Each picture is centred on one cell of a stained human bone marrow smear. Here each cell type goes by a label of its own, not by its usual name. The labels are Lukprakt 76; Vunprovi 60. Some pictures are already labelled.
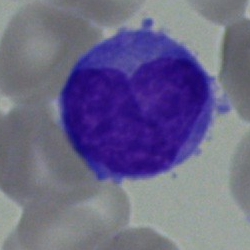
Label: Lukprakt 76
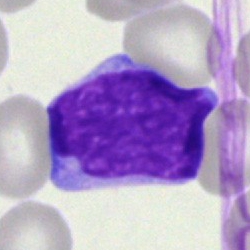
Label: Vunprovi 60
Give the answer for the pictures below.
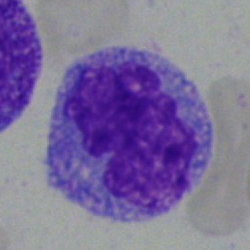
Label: Lukprakt 76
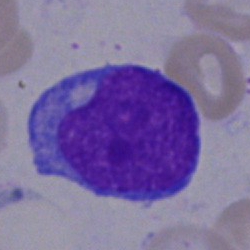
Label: Vunprovi 60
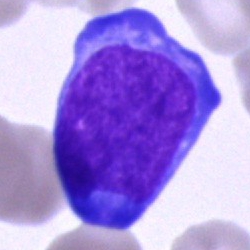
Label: Vunprovi 60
